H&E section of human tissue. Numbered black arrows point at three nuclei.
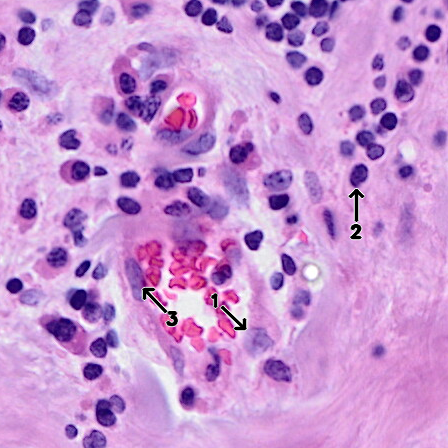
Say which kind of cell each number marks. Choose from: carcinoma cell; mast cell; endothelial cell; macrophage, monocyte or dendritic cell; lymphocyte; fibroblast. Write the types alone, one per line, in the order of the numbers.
endothelial cell
lymphocyte
endothelial cell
